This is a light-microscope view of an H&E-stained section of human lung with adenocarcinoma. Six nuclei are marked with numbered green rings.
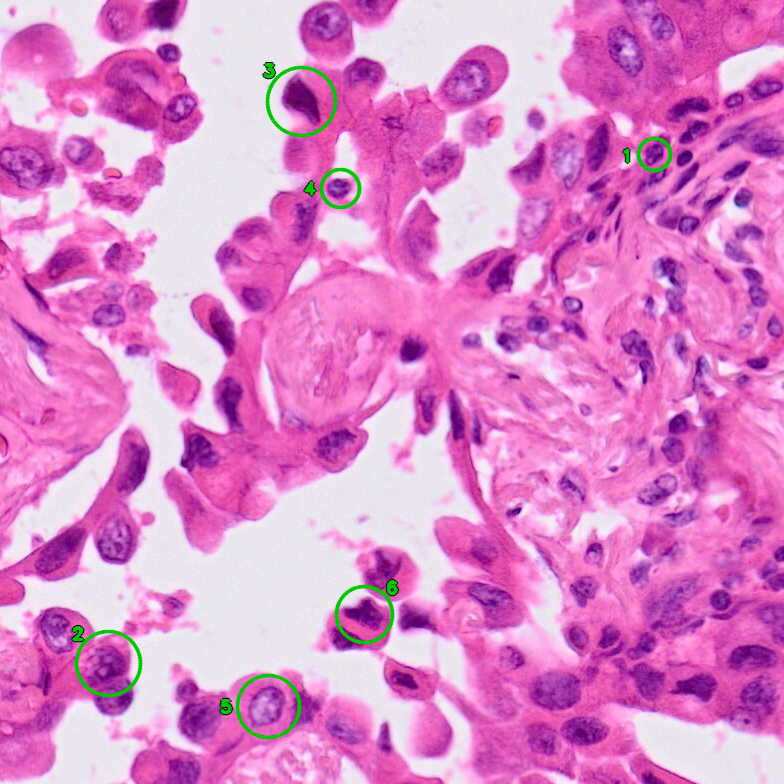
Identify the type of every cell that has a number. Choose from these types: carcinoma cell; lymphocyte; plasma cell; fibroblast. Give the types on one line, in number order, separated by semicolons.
lymphocyte; carcinoma cell; carcinoma cell; lymphocyte; carcinoma cell; carcinoma cell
